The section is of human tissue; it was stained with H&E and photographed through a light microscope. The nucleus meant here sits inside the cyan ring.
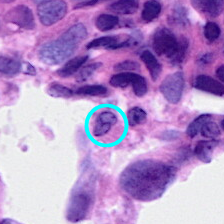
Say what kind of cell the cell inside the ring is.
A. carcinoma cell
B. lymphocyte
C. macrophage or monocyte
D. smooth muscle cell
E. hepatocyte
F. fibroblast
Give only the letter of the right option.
C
